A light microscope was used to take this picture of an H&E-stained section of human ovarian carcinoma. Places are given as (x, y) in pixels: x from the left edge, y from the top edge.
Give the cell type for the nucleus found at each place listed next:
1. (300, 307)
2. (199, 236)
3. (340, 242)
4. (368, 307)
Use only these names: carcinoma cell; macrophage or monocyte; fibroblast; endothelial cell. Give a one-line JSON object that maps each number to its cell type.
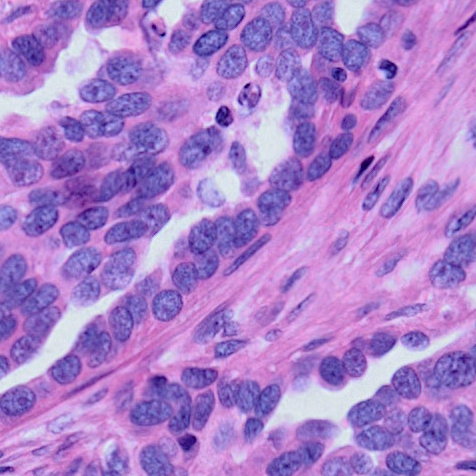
{"1": "fibroblast", "2": "carcinoma cell", "3": "fibroblast", "4": "fibroblast"}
